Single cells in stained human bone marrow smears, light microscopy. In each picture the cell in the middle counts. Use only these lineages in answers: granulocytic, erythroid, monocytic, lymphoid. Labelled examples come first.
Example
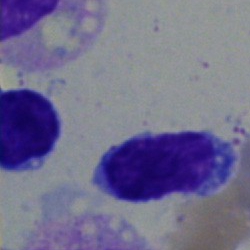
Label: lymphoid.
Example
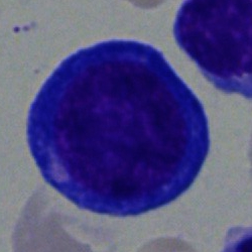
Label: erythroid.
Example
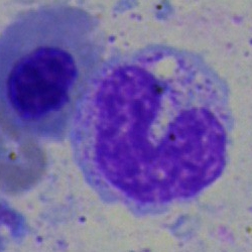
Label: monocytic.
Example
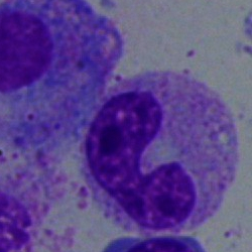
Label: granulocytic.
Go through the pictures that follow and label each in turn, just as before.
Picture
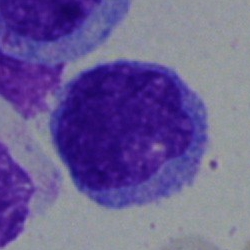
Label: monocytic.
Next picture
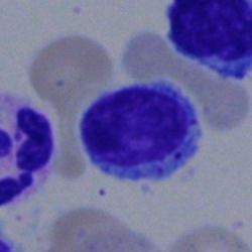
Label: lymphoid.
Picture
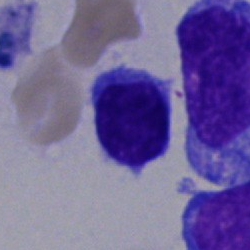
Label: lymphoid.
